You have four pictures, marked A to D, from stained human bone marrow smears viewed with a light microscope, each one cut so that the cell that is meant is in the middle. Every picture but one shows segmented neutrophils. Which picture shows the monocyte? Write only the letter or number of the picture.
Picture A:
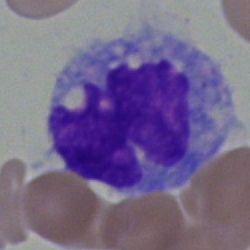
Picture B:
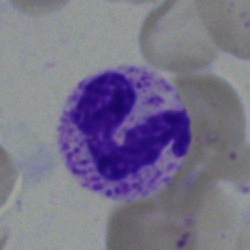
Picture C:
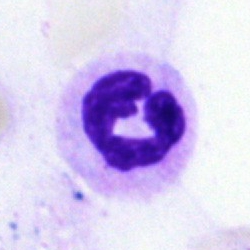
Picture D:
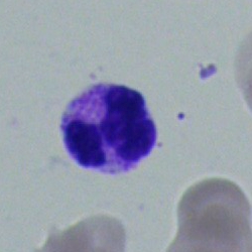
A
